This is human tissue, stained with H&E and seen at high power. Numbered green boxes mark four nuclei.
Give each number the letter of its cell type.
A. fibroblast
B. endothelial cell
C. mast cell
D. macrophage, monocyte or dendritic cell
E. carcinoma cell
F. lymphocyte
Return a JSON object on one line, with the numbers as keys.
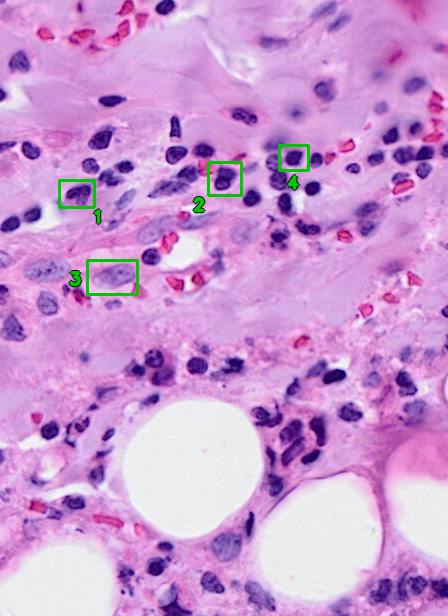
{"1": "F", "2": "F", "3": "B", "4": "F"}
